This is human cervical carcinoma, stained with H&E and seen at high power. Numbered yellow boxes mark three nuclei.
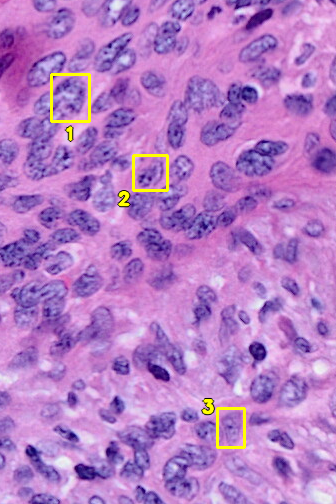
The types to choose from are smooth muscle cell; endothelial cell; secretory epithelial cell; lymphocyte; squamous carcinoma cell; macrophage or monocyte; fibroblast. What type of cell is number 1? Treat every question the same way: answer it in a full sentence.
The correct answer for cell 1 is a squamous carcinoma cell.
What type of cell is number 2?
Here the cell numbered 2 is a squamous carcinoma cell.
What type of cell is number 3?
The cell indicated by marker 3 is an endothelial cell in this section.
